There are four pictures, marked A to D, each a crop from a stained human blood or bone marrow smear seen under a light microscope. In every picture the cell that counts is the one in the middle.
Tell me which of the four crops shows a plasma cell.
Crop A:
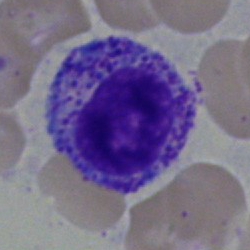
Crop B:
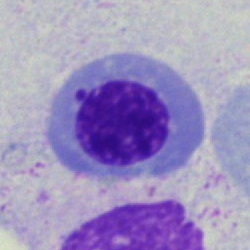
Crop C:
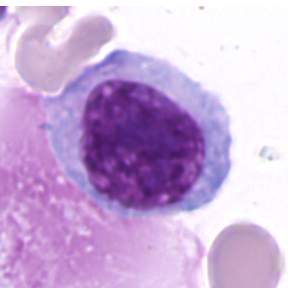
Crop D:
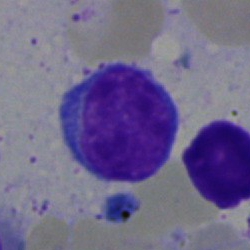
C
